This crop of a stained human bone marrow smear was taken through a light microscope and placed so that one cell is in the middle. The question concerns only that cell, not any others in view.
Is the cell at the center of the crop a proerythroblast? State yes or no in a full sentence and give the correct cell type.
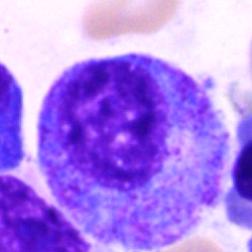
No, the central cell is a promyelocyte, not a proerythroblast.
